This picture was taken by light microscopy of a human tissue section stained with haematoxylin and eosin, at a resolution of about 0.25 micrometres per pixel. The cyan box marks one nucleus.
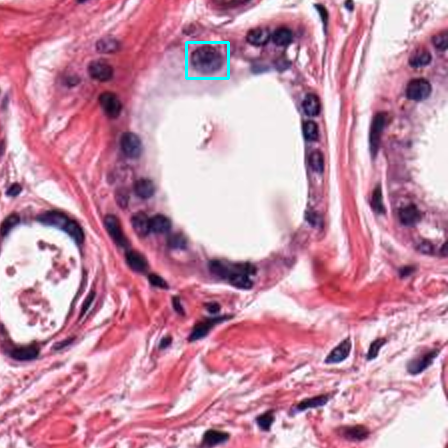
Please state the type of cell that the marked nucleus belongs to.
thyroid follicular cell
